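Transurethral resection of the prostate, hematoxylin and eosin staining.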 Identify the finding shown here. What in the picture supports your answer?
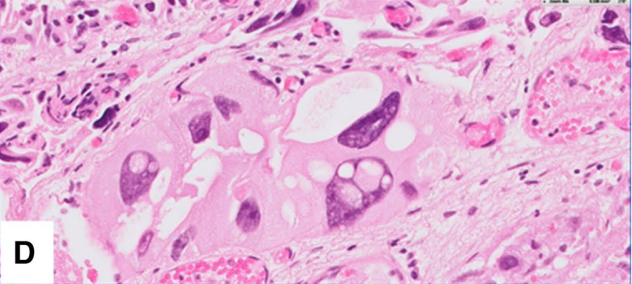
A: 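Tumor cells vary greatly in size and shape. Some nuclei are very large, dark and irregular. Several cells have large clear cytoplasmic vacuoles.
Highly pleomorphic cells.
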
